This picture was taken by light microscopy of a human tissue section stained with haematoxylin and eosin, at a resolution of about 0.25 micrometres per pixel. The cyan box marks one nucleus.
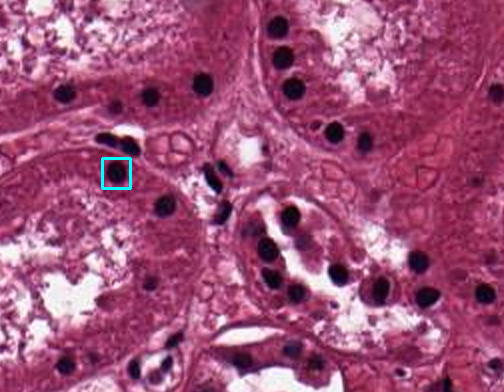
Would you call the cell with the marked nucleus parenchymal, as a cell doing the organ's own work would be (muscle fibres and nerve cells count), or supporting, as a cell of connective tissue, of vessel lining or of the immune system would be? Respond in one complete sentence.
The cell to which the marked nucleus belongs is a proximal tubule cell, a parenchymal cell.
